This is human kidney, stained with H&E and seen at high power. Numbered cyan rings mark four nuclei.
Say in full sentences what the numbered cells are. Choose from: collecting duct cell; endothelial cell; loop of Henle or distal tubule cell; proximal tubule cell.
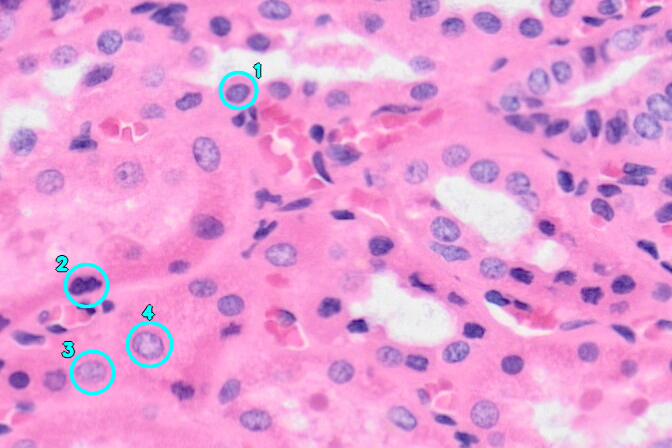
Cell 1 is a loop of Henle or distal tubule cell, cell 2 is a proximal tubule cell, cell 3 is a proximal tubule cell and cell 4 is a proximal tubule cell.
